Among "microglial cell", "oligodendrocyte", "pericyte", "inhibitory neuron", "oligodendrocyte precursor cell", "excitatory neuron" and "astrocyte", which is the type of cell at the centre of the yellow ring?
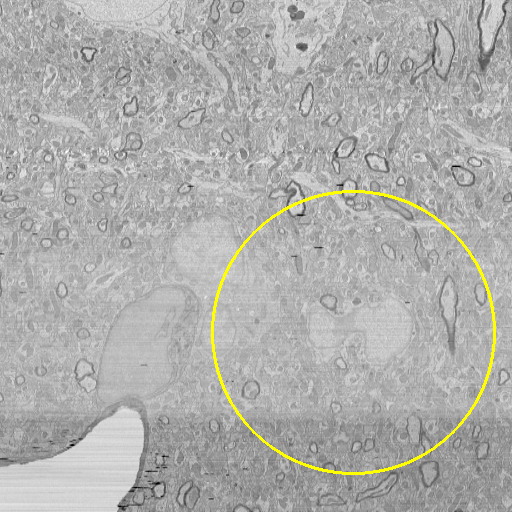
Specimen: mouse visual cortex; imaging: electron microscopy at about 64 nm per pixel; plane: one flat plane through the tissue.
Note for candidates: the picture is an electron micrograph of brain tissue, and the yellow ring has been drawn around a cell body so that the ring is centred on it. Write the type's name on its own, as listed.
oligodendrocyte precursor cell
